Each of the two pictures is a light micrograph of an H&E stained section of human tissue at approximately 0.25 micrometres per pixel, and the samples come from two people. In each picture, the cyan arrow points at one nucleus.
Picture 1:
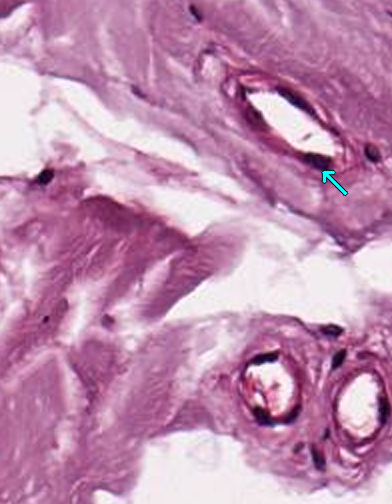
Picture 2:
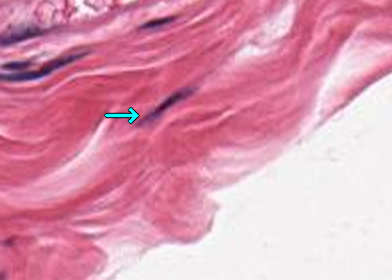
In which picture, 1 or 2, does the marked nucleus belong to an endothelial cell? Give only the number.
1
